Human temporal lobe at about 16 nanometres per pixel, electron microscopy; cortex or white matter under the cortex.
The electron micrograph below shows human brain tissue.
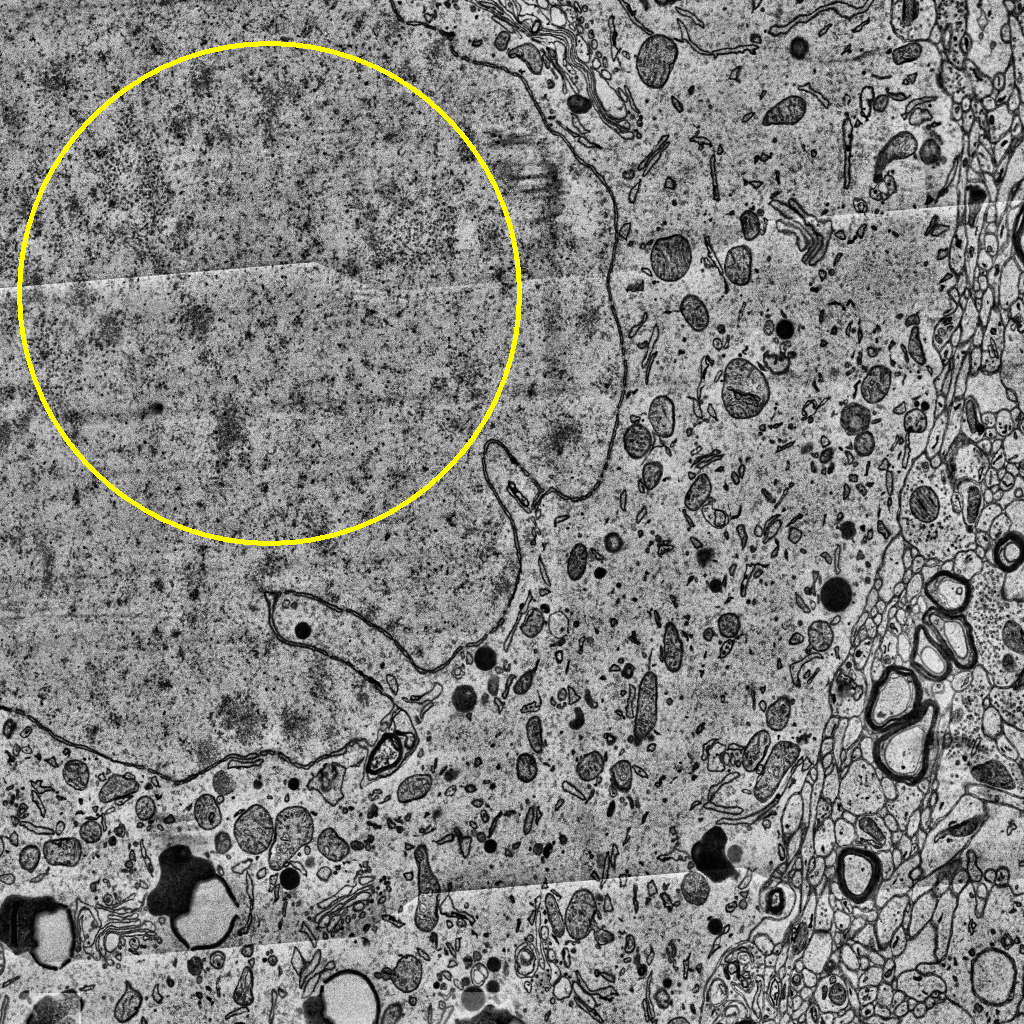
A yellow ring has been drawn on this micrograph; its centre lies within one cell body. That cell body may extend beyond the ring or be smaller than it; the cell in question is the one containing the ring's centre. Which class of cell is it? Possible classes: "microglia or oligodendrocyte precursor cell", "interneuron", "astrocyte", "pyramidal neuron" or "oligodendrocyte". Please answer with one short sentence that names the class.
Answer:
In the centre of the ring sits a pyramidal neuron.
